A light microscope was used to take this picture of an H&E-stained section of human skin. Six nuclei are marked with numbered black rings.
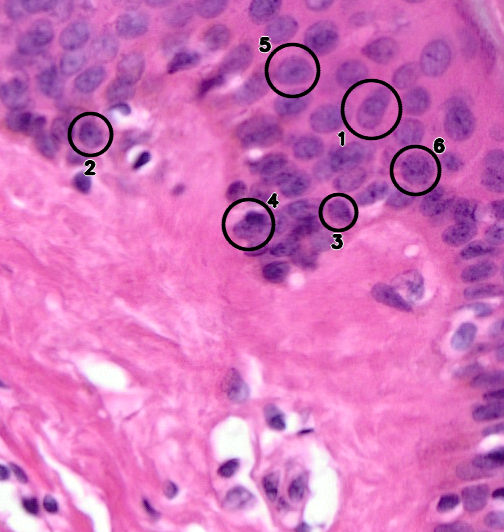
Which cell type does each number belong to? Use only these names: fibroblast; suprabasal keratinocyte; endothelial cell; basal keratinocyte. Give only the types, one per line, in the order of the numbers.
suprabasal keratinocyte
basal keratinocyte
basal keratinocyte
basal keratinocyte
suprabasal keratinocyte
basal keratinocyte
